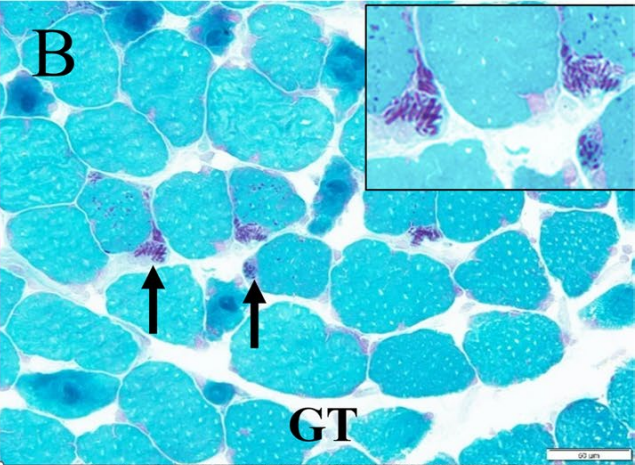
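This is skeletal muscle cut across, with polygonal fibers stained blue-green and separated by pale spaces. In several fibers, clusters of small dark purple rod-shaped bodies lie along the edge of the fiber, seen enlarged in the inset. Some fibers are small and rounded.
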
